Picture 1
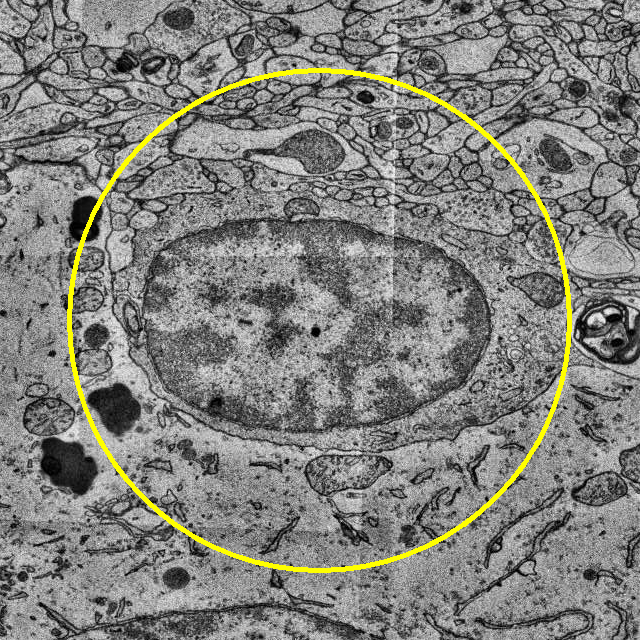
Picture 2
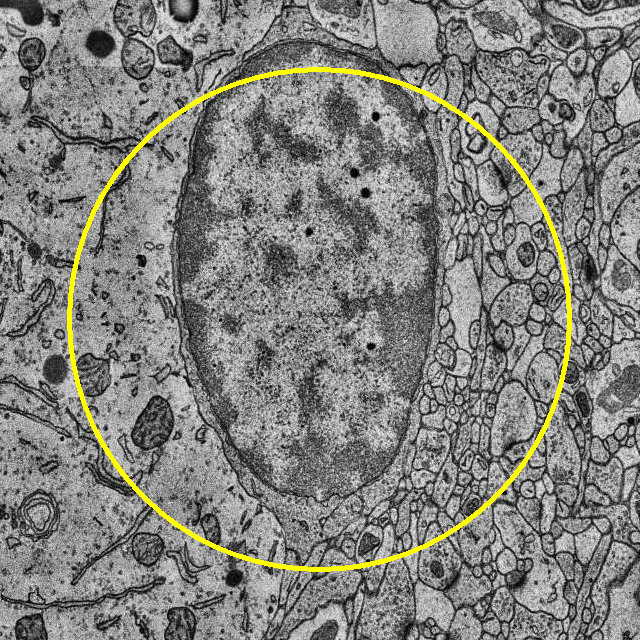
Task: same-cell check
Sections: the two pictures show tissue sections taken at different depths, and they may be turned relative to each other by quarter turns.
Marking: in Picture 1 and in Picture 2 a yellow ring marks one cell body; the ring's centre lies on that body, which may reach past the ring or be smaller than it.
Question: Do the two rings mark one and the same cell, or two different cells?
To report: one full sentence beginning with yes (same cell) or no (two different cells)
Yes, the same cell appears within both yellow rings.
